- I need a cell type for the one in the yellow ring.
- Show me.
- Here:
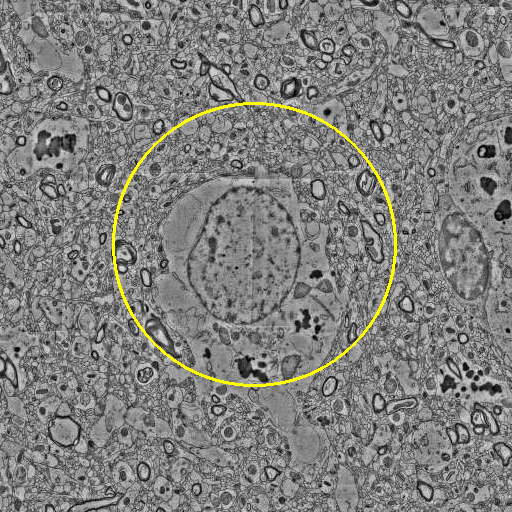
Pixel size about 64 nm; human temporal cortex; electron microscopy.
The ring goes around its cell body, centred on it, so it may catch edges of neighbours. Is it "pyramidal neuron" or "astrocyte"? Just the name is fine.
astrocyte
